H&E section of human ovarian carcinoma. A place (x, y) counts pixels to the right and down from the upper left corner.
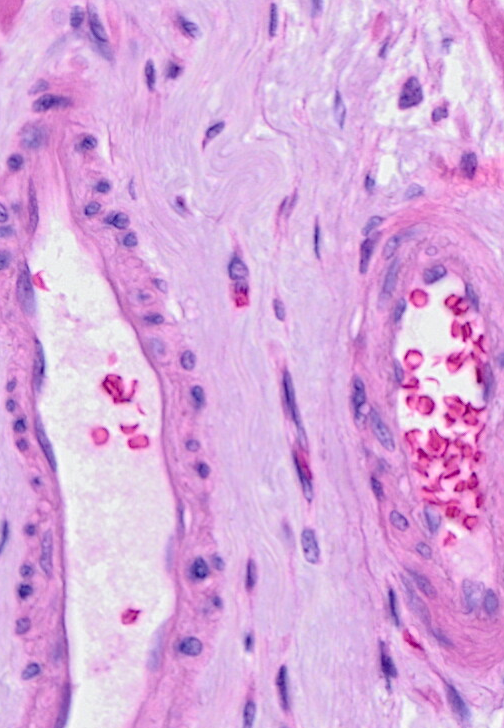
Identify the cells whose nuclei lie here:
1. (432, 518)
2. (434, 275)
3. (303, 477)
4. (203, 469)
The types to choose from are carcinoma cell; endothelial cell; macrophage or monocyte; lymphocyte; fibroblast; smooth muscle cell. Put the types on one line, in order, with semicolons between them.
endothelial cell; endothelial cell; endothelial cell; smooth muscle cell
